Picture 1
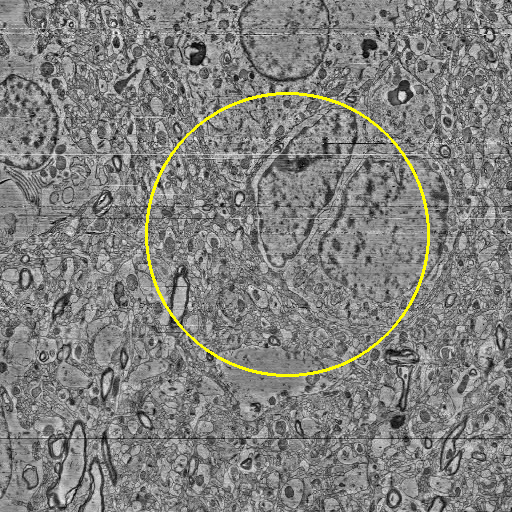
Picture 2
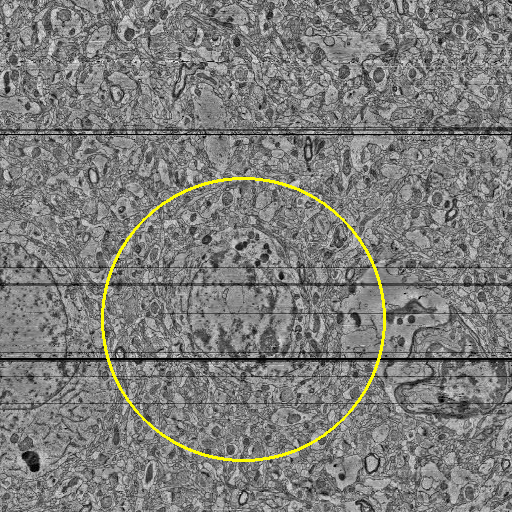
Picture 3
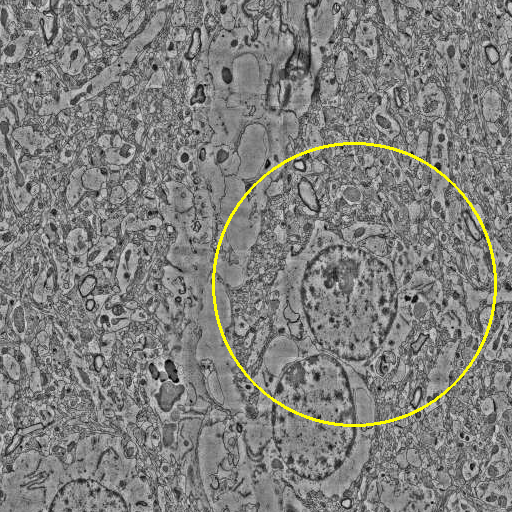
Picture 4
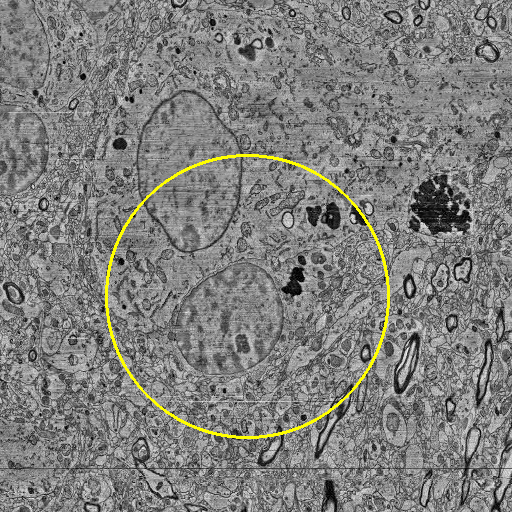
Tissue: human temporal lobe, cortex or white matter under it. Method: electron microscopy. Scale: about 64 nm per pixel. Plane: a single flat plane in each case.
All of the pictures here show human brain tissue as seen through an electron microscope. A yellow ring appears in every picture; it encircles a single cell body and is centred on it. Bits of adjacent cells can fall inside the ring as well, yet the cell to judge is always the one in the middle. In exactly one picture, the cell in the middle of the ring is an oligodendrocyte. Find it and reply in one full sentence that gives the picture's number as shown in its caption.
Of all the pictures, picture 4 has the right cell at the centre of its ring.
